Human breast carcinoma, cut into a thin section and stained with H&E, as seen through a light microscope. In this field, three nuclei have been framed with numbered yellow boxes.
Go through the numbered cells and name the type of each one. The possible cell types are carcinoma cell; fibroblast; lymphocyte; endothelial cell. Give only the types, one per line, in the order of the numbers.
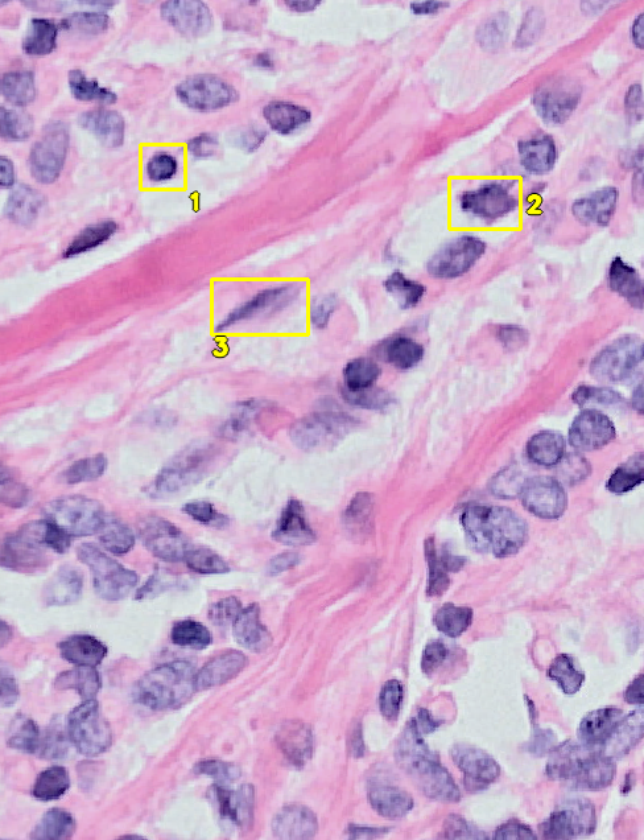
lymphocyte
carcinoma cell
fibroblast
